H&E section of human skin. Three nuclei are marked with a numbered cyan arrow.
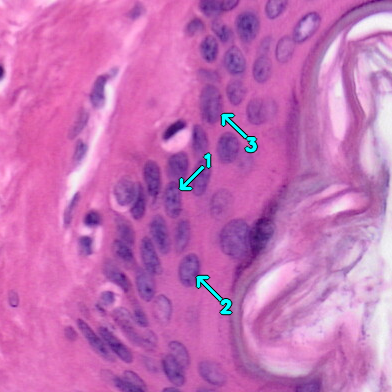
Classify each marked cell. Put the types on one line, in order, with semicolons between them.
basal keratinocyte; suprabasal keratinocyte; basal keratinocyte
